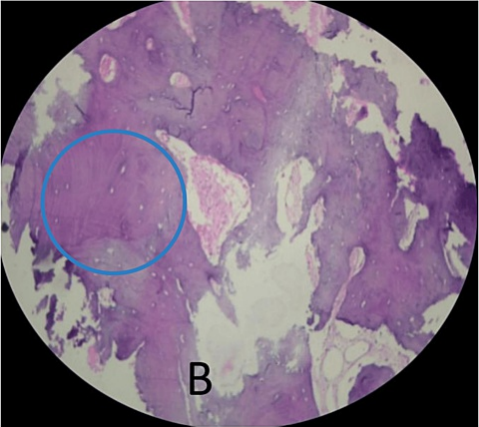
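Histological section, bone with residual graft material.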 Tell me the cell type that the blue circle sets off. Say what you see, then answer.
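The circled area is dense purple matrix.
Conclusion: osteocytes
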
